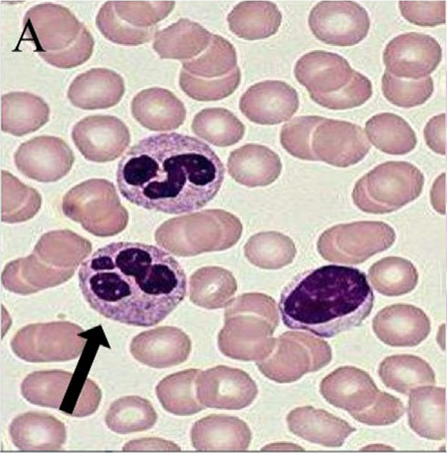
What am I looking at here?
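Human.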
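A blood film with neutrophils among many red blood cells. The red cells are pink, round discs with pale centres, some overlapping. Two larger white cells with lobed nuclei lie in the field: each has a dark purple nucleus split into three to four lobes joined by thin strands, surrounded by pale lilac, finely granular cytoplasm. A third white cell of similar size to the right has a single, round, dense purple nucleus filling most of the cell with only a thin rim of cytoplasm.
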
